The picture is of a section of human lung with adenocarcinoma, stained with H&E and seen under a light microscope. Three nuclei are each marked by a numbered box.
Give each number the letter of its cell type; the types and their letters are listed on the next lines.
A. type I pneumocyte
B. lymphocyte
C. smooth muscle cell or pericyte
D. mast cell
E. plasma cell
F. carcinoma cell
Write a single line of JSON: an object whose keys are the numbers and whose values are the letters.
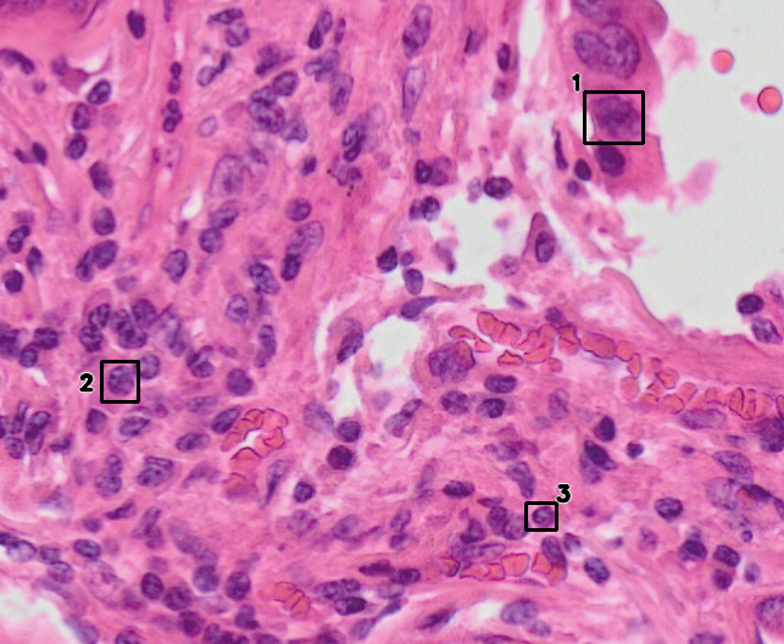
{"1": "F", "2": "E", "3": "B"}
